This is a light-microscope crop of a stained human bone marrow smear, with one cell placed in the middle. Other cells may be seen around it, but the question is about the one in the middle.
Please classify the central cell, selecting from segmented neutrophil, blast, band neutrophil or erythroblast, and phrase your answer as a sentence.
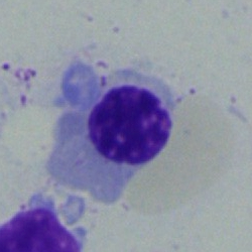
To answer, the cell in the center of the crop is an erythroblast.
